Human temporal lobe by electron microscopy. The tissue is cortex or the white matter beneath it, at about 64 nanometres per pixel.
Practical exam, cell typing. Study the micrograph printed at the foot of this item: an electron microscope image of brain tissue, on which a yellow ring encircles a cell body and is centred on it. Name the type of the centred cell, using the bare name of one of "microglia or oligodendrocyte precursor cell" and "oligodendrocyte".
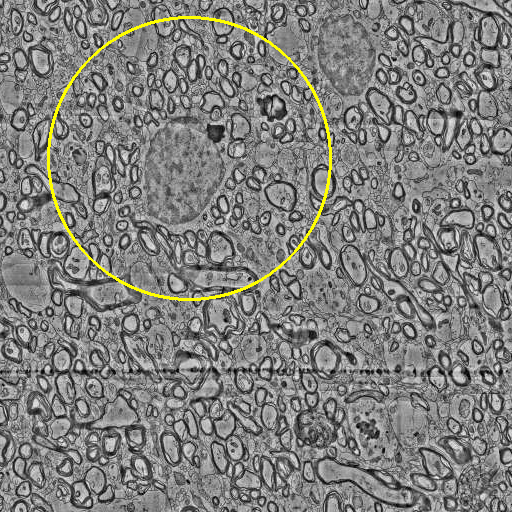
oligodendrocyte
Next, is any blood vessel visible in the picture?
No.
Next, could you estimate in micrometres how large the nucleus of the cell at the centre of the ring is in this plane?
About 7 micrometres by about 5 micrometres in this plane.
